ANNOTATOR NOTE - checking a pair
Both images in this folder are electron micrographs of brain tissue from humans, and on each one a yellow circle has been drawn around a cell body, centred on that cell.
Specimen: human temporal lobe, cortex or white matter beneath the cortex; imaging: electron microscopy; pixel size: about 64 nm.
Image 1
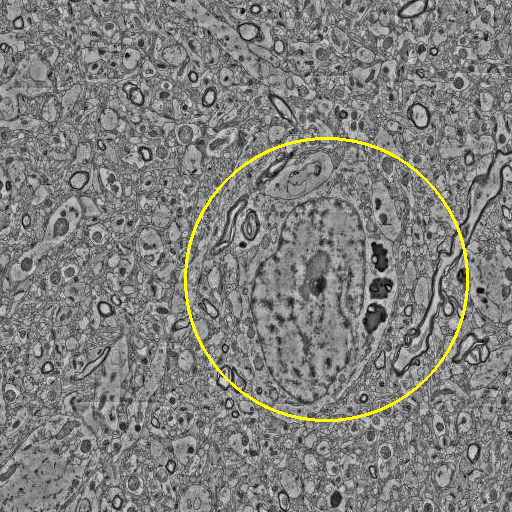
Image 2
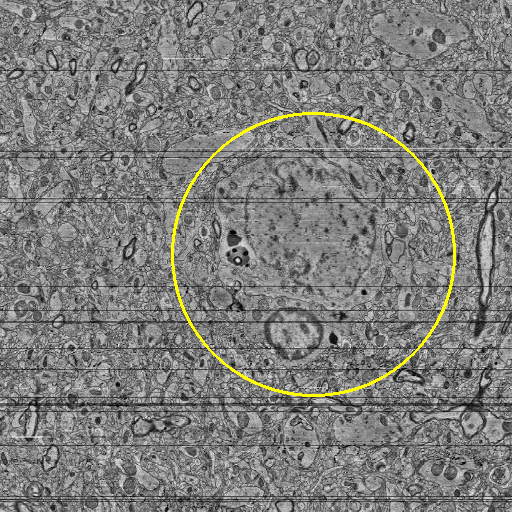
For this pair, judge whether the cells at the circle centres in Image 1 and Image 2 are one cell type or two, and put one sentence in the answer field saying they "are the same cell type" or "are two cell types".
For this pair, the cells at the circle centres in Images 1 and 2 are the same cell type.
